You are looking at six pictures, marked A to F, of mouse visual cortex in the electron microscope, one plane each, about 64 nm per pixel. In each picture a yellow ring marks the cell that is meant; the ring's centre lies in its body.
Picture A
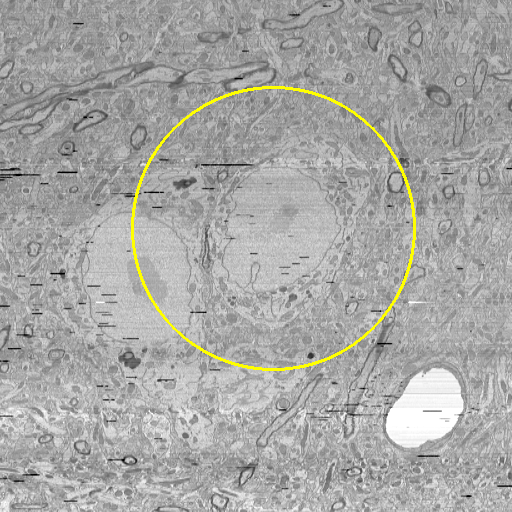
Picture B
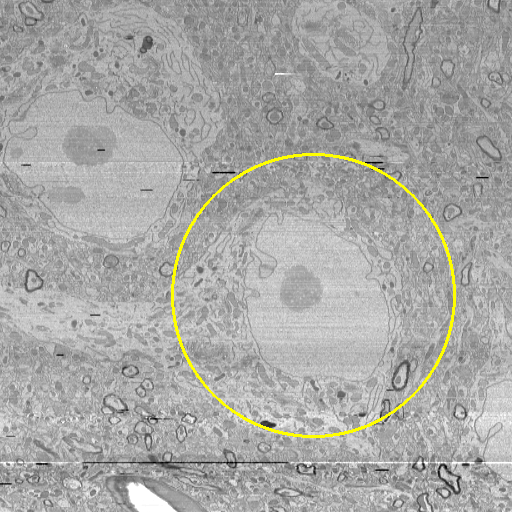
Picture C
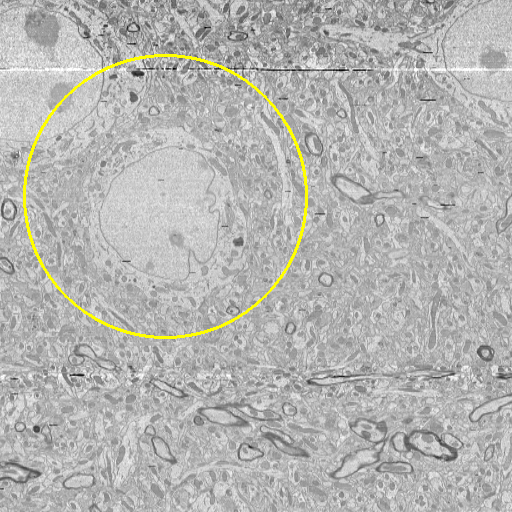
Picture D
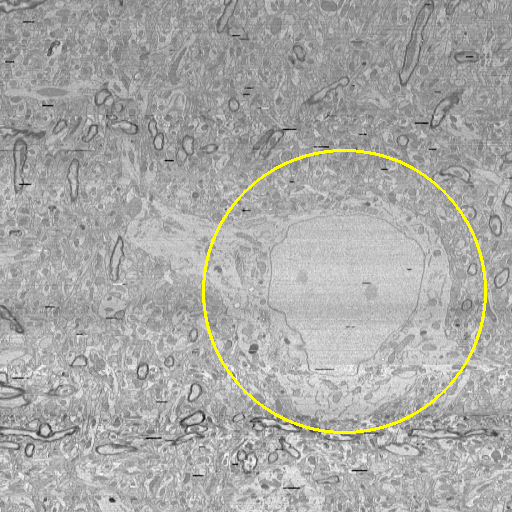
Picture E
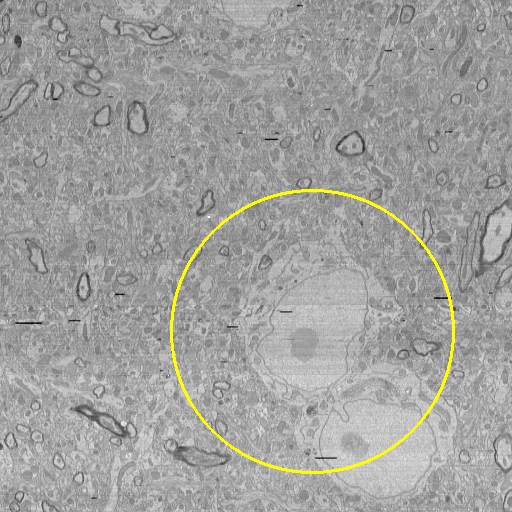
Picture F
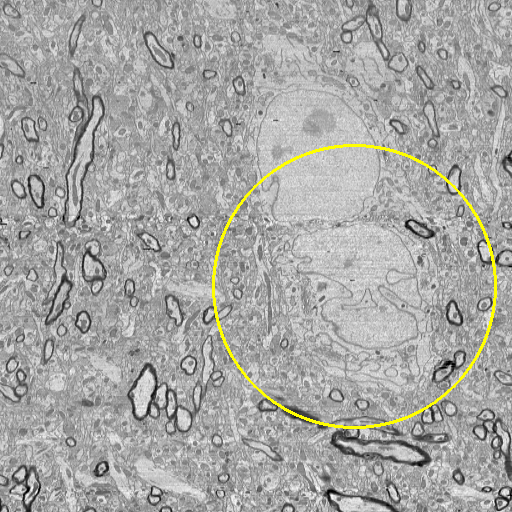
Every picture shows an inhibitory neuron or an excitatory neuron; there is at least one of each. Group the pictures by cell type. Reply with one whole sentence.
Pictures A and F show inhibitory neurons; pictures B, C, D and E show excitatory neurons.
